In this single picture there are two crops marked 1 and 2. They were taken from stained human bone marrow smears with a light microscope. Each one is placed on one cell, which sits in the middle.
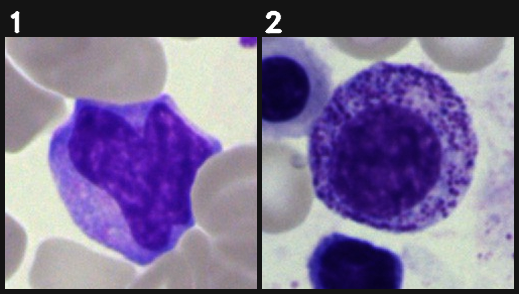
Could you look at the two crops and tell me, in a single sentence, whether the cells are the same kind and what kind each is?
No, crop 1 shows a monocyte and crop 2 shows a myelocyte.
